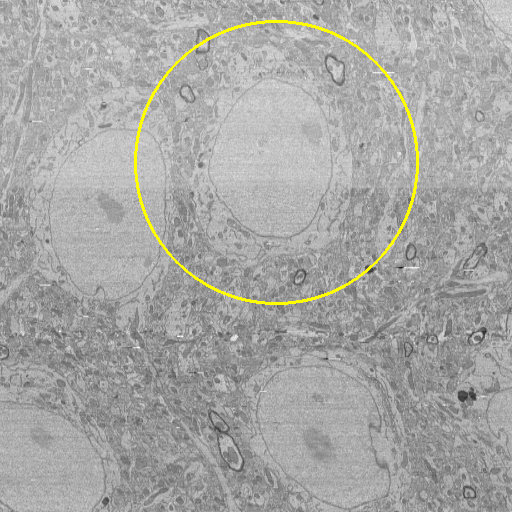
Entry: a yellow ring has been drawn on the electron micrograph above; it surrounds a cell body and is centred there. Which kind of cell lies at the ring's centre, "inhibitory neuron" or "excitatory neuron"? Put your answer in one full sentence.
The cell sitting at the ring's centre is an excitatory neuron in the micrograph above.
